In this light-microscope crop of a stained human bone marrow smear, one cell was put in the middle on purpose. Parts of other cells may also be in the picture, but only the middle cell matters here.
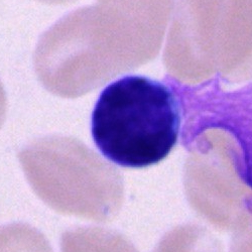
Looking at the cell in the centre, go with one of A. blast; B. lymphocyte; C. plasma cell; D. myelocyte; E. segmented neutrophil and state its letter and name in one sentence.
In this crop the central cell is a lymphocyte, which option B correctly states.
